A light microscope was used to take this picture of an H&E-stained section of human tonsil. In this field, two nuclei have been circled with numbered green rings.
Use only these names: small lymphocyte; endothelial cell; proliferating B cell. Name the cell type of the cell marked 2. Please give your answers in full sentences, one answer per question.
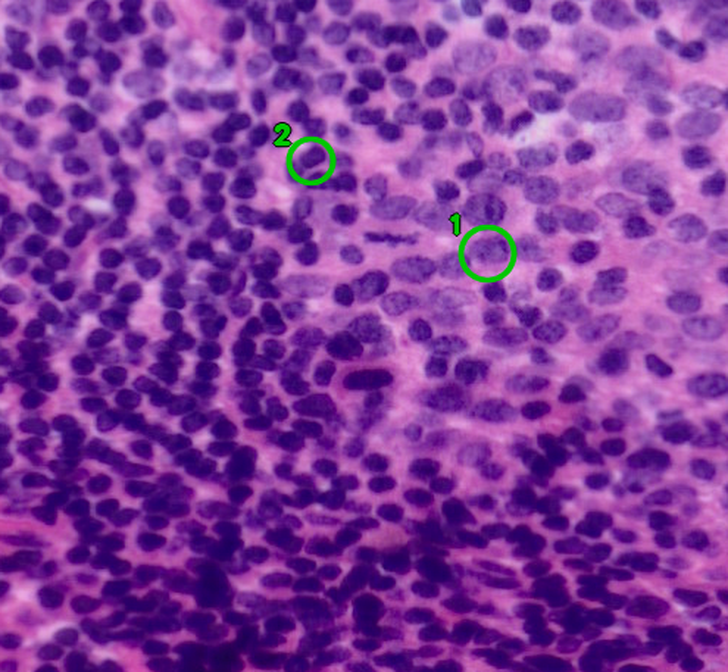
The cell bearing label 2 corresponds to a small lymphocyte.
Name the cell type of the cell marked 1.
Cell 1 should be recorded as a proliferating B cell.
